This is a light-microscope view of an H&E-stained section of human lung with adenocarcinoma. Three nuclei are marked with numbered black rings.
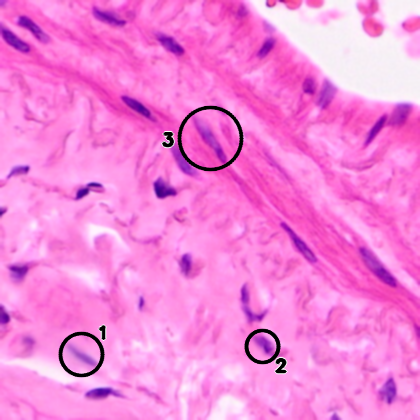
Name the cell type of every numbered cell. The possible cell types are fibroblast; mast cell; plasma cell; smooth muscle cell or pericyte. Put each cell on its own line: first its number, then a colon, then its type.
1: fibroblast
2: fibroblast
3: smooth muscle cell or pericyte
